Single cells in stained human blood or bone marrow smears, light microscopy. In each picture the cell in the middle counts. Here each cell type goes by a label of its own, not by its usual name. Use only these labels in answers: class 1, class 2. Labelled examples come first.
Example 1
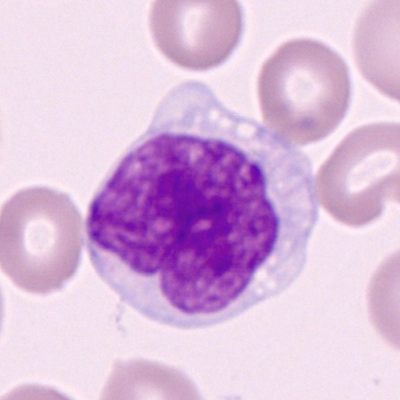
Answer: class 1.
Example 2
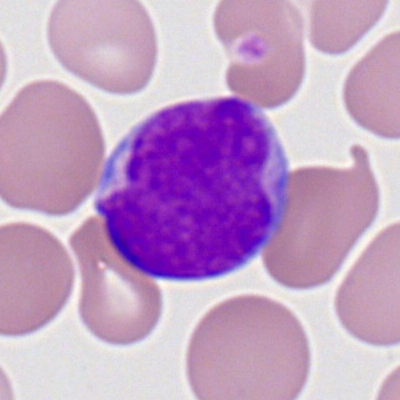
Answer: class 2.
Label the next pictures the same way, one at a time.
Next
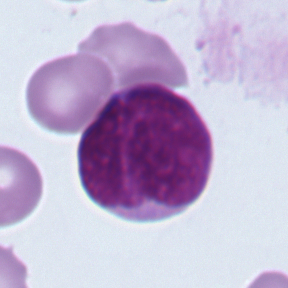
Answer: class 2.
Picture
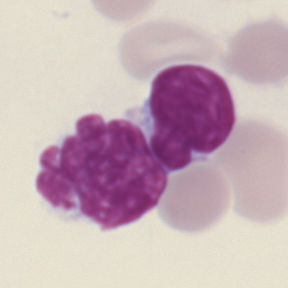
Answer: class 2.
